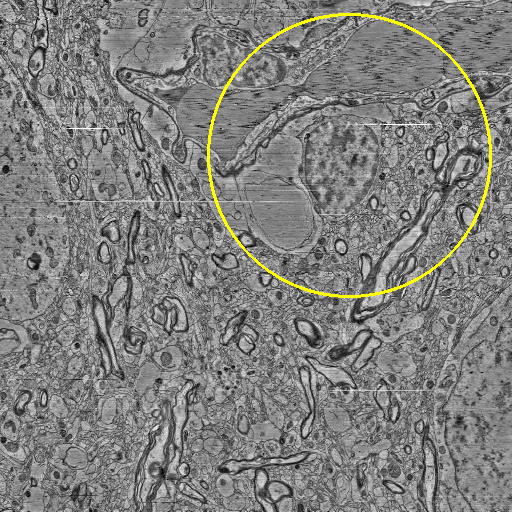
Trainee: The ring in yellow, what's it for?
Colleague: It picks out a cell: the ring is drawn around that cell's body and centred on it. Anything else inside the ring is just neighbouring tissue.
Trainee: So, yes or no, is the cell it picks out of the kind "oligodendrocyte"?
yes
